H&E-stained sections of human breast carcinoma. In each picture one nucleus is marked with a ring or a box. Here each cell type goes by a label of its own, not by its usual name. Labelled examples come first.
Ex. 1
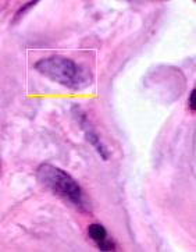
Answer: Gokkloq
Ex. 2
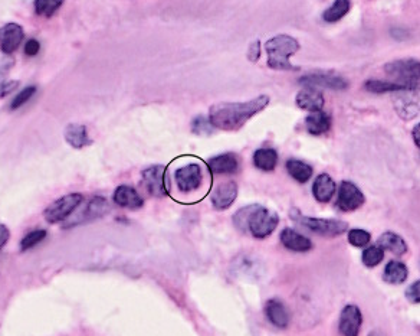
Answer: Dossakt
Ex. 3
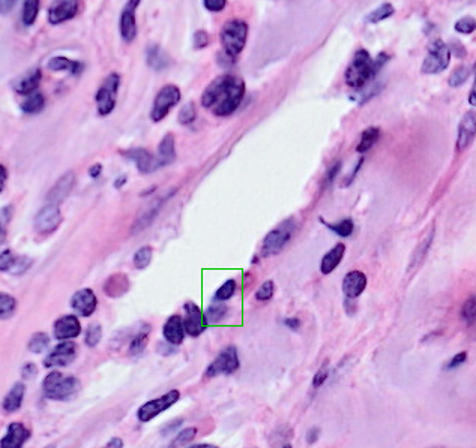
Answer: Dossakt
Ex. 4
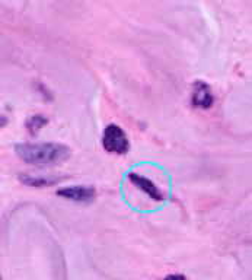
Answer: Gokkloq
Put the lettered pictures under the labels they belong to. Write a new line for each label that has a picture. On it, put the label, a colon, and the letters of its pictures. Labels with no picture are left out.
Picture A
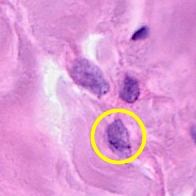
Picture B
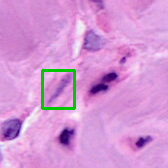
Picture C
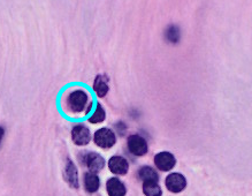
Gokkloq: A, B
Dossakt: C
